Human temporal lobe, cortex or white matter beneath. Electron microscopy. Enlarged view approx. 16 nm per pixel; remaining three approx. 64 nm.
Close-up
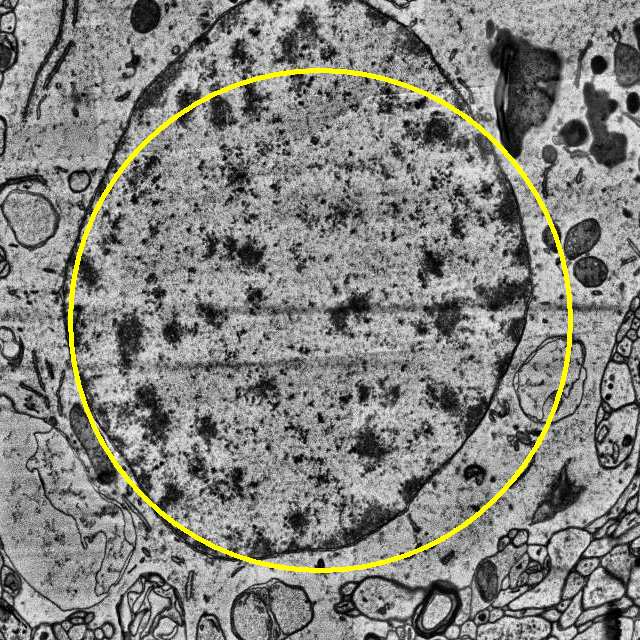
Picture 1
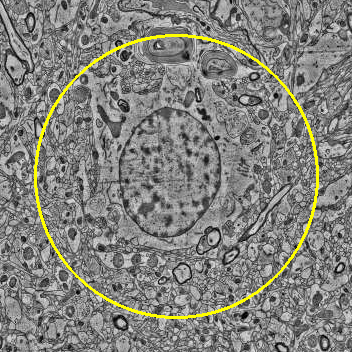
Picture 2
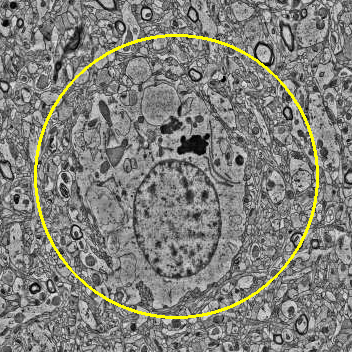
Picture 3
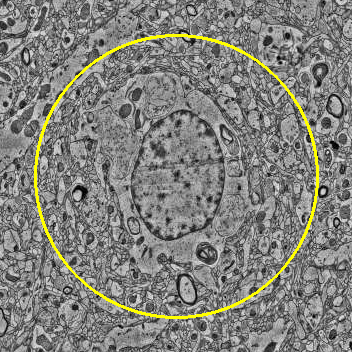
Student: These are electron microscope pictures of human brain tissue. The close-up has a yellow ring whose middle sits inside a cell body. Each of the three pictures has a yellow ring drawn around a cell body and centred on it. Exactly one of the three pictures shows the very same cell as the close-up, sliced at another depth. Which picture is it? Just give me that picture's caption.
Picture 1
